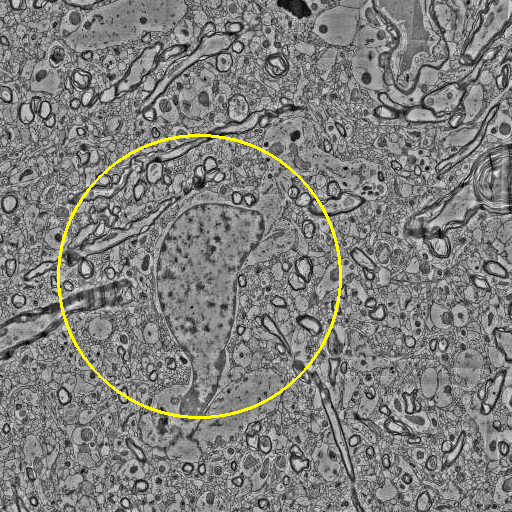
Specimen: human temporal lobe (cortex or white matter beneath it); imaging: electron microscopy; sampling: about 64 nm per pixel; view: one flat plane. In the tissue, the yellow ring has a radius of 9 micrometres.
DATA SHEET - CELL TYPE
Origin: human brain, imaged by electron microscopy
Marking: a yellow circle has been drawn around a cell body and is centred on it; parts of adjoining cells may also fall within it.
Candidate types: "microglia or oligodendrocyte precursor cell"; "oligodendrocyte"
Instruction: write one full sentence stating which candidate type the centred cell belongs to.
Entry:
The cell body at the centre of the yellow ring in this micrograph belongs to a microglial cell or oligodendrocyte precursor cell.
